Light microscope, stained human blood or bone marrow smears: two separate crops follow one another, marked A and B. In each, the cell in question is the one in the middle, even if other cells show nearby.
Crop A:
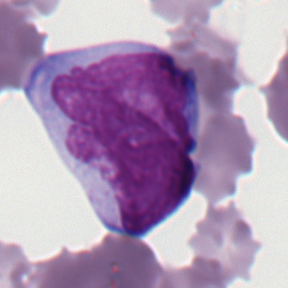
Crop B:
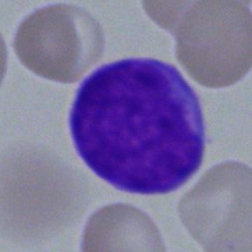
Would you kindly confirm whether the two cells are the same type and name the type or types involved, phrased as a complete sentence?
Yes, the cells at the centre of the two crops are both blasts.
